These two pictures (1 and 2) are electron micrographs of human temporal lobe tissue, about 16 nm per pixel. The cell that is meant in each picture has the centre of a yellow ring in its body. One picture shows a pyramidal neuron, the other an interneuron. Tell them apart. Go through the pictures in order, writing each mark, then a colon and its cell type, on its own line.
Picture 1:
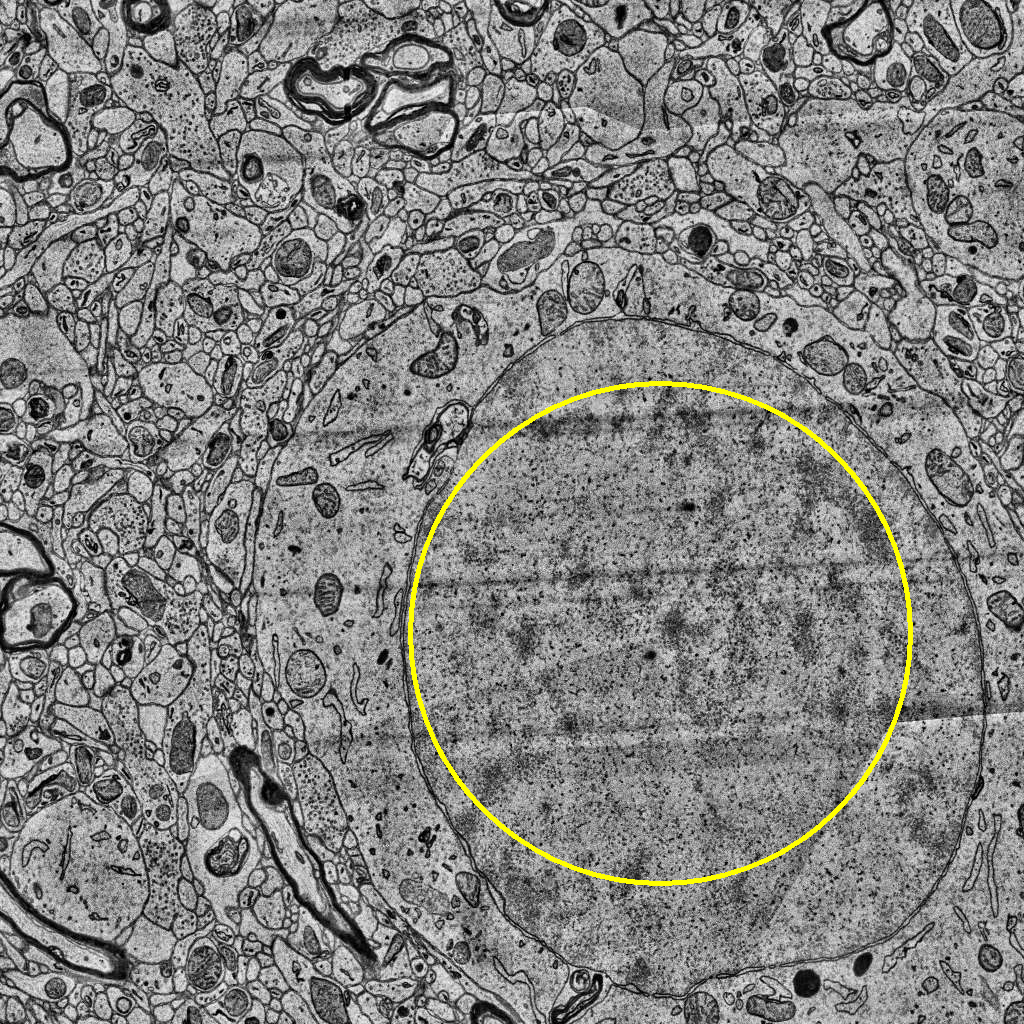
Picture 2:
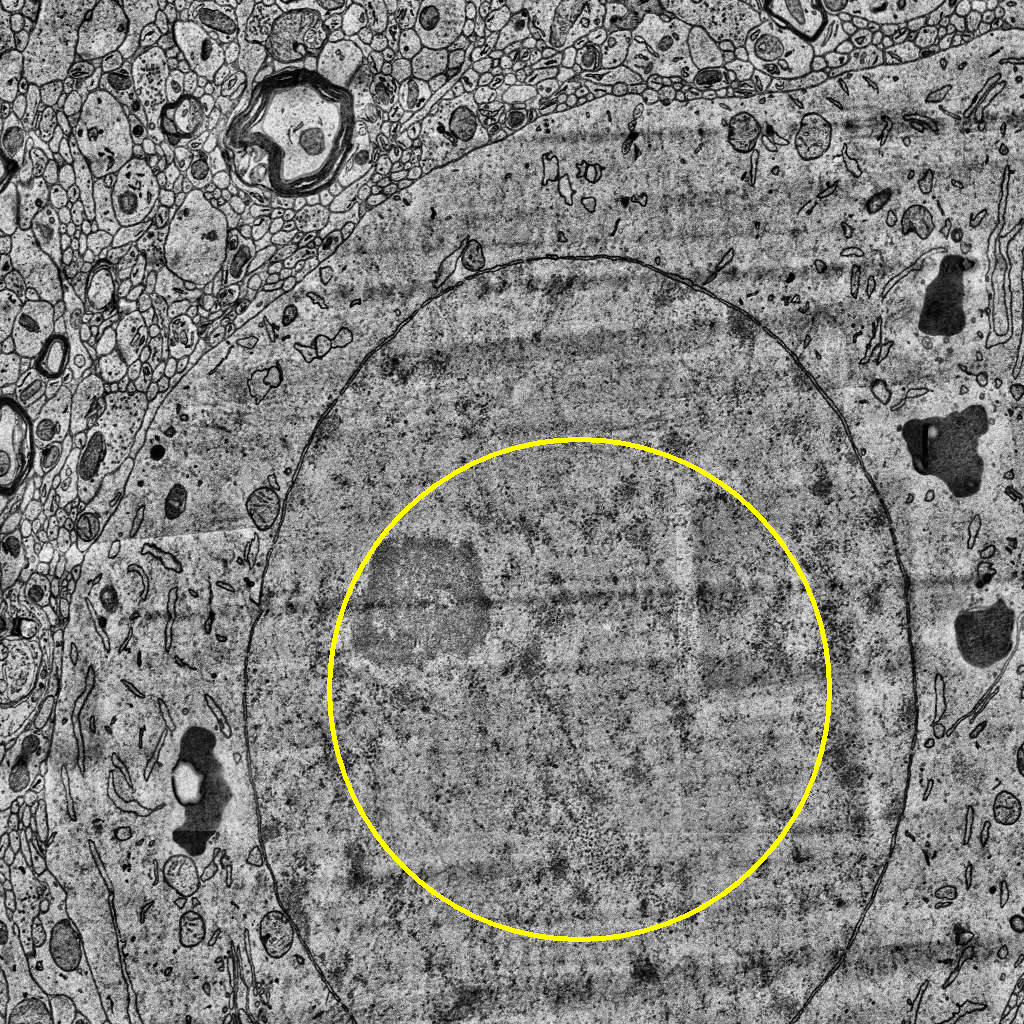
1: interneuron
2: pyramidal neuron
